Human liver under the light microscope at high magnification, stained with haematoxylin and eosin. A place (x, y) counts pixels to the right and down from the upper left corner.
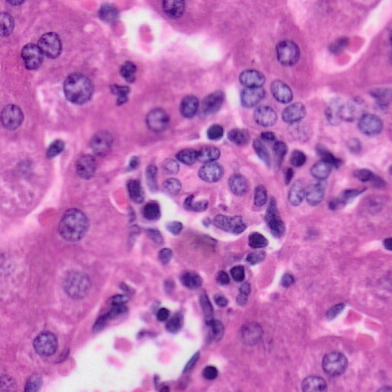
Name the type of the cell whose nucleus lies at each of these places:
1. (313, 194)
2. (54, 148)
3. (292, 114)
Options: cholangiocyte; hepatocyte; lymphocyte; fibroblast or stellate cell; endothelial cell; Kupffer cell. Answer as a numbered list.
1. cholangiocyte
2. lymphocyte
3. cholangiocyte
